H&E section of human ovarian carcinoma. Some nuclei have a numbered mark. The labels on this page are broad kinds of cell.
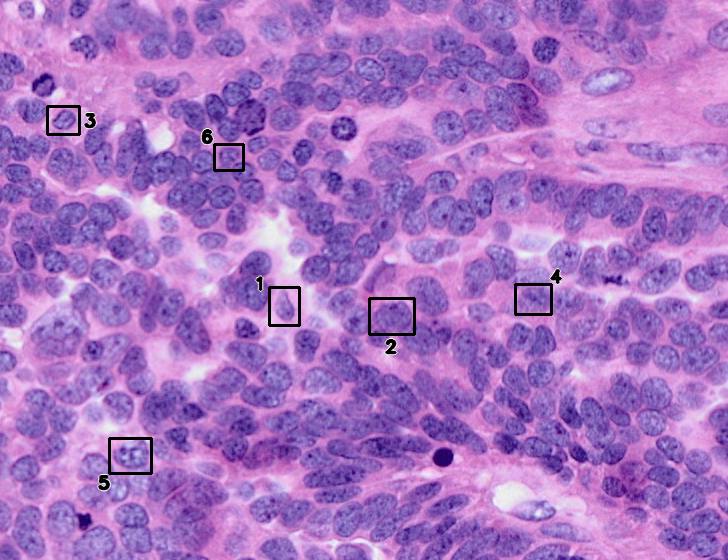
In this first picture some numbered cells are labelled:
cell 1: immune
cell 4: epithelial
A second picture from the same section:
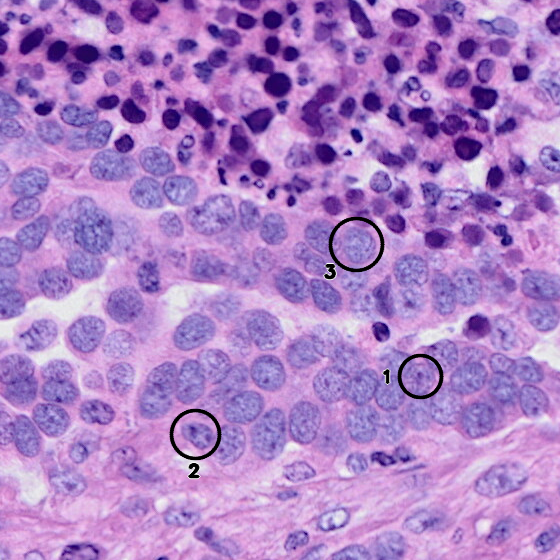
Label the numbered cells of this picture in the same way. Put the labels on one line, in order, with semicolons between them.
epithelial; immune; epithelial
